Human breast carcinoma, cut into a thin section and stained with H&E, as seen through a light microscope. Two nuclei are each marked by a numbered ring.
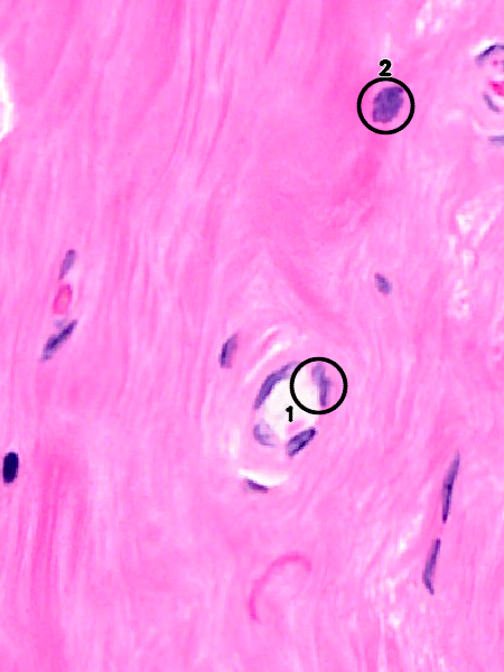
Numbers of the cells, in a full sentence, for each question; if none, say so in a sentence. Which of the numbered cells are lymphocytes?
Only the cell marked 2 is a lymphocyte.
